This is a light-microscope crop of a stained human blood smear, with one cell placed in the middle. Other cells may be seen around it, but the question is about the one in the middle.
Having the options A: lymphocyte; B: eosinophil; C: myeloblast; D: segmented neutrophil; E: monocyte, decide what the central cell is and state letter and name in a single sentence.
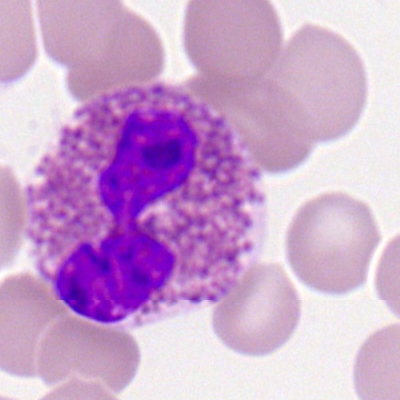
The cell in the middle is an eosinophil, and so option B is correct.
